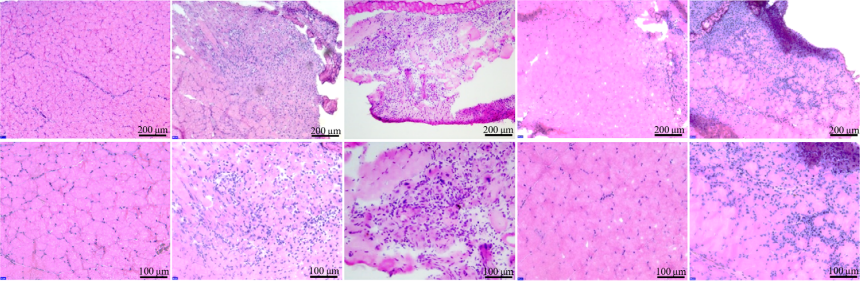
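In the leftmost column the fibers are packed closely together as pale pink polygons, and their small nuclei sit at the edges of the fibers. In several of the other columns, the orderly fiber pattern is broken up by dense crowds of small purple nuclei lying between and among the fibers. In one column the tissue is torn and loose, with pale pink fragments and scattered purple nuclei rather than intact fibers. In some sections the fibers are again close-packed and polygonal, much like the leftmost column.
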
